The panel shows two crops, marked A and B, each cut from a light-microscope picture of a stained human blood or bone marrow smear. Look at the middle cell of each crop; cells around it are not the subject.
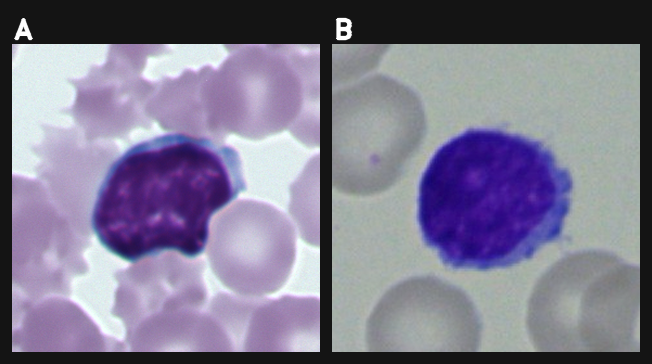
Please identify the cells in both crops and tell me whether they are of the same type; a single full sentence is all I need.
Yes, the two crops both show lymphocytes.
